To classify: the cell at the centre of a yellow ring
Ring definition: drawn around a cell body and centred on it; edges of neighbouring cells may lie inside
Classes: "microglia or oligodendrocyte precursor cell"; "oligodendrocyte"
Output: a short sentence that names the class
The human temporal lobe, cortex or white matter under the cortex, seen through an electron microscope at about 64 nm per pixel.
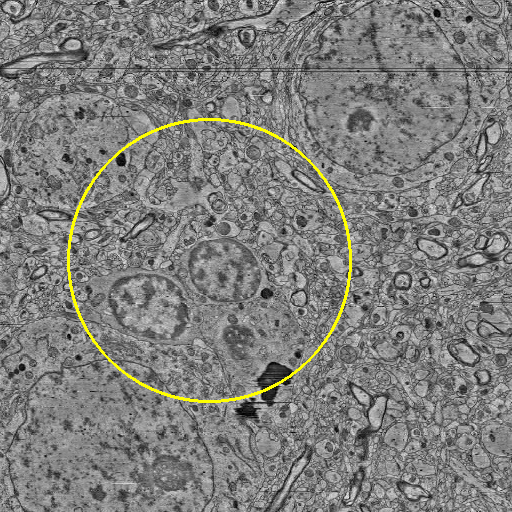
The ringed cell is an oligodendrocyte.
